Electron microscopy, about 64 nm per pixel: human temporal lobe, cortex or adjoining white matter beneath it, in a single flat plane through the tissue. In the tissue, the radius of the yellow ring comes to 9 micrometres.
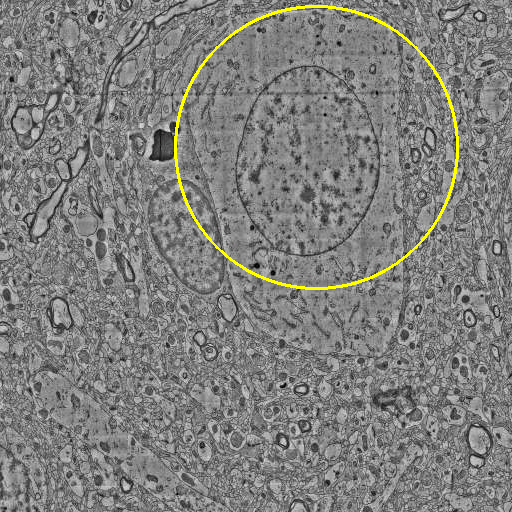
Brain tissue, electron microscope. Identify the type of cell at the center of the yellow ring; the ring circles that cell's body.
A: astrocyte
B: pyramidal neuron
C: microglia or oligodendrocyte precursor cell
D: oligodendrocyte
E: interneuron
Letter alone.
B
